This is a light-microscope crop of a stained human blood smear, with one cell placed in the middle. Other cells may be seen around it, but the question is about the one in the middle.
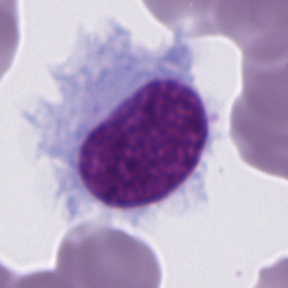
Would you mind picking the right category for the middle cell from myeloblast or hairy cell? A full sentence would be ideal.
Of the cells in this crop, the central one is a hairy cell.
